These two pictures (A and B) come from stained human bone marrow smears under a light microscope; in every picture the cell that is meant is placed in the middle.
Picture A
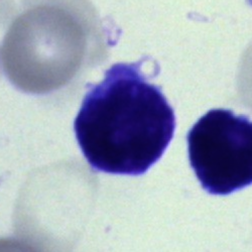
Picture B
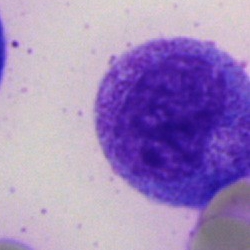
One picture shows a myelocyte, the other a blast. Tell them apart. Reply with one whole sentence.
It is picture A that shows a blast, and picture B that shows a myelocyte.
